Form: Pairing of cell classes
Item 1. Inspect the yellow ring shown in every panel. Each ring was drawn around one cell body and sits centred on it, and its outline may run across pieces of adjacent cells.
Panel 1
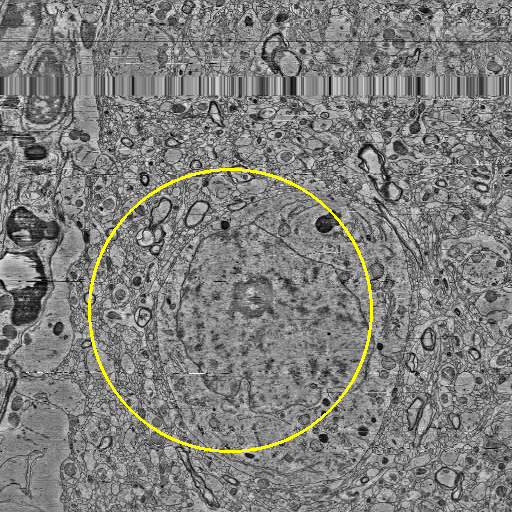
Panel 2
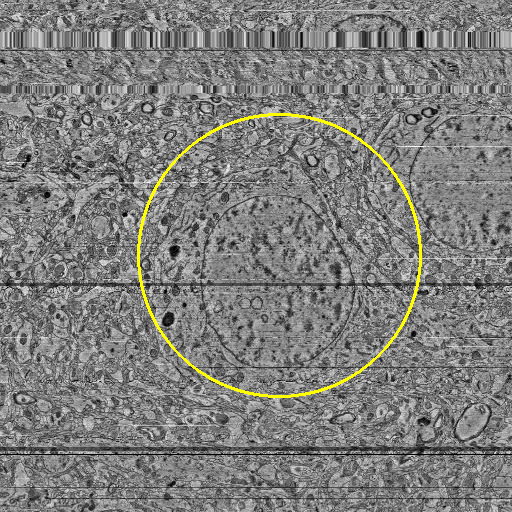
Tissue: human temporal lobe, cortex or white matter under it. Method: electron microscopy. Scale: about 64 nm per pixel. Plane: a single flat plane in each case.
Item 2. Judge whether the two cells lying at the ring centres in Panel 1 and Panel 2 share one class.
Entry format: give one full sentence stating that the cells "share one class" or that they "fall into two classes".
The cells at the ring centres in Panel 1 and Panel 2 share one class.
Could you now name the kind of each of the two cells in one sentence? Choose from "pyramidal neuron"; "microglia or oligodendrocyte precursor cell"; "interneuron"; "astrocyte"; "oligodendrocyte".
The cell at the ring centre is a pyramidal neuron in both pictures.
